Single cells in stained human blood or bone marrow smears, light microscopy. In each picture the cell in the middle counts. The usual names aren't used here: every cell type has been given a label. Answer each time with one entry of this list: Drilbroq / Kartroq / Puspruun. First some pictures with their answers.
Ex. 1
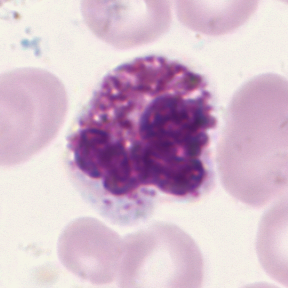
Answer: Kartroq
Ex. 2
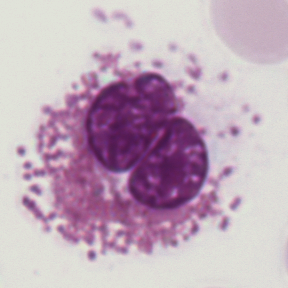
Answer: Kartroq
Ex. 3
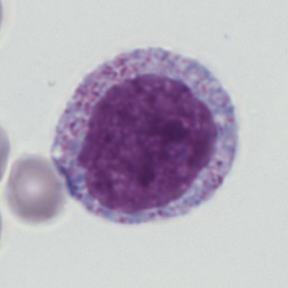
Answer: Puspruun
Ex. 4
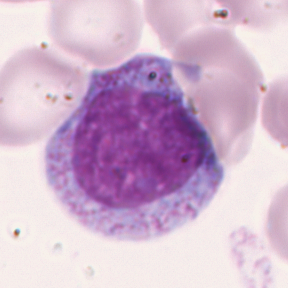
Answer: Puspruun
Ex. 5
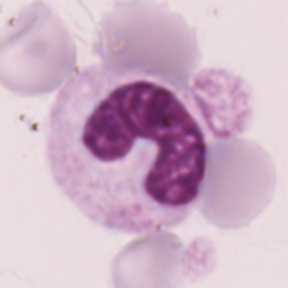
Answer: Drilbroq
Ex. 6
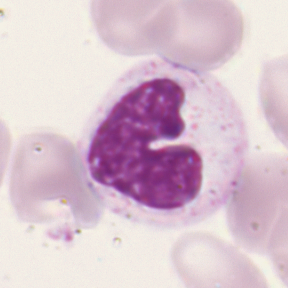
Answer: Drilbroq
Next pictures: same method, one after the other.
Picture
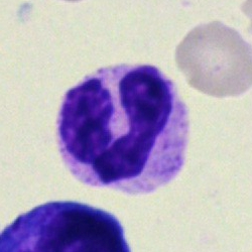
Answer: Drilbroq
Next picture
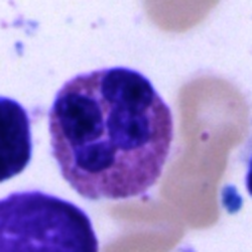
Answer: Kartroq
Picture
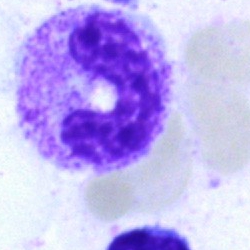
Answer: Drilbroq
